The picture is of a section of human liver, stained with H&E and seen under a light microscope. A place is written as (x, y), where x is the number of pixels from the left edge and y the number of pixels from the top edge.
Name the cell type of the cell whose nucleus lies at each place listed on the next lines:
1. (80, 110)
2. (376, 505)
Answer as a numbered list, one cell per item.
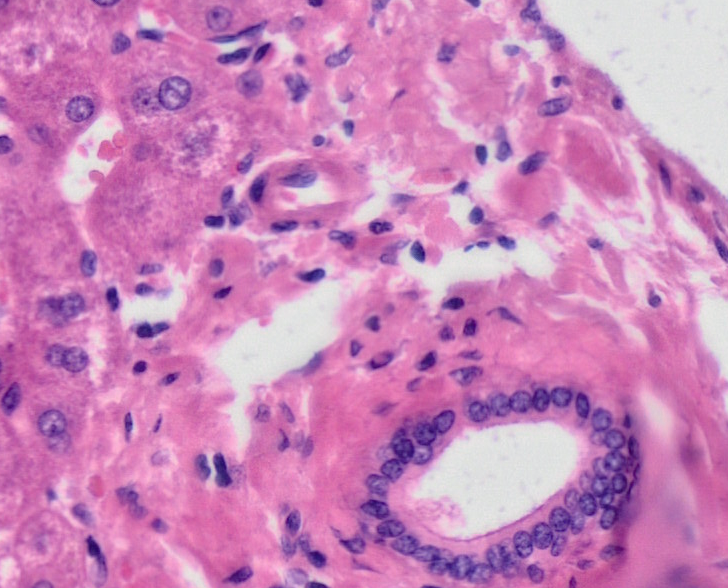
1. hepatocyte
2. cholangiocyte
